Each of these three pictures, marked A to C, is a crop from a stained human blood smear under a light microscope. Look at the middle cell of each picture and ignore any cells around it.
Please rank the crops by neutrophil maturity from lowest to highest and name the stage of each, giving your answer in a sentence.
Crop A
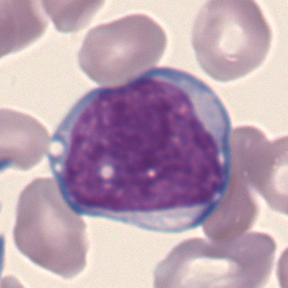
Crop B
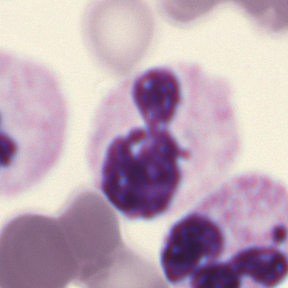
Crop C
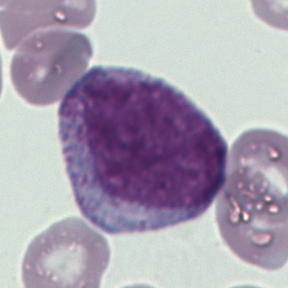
Along the maturation line, from least to most mature, sit crop A (a blast), crop C (a promyelocyte) and crop B (a neutrophil).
